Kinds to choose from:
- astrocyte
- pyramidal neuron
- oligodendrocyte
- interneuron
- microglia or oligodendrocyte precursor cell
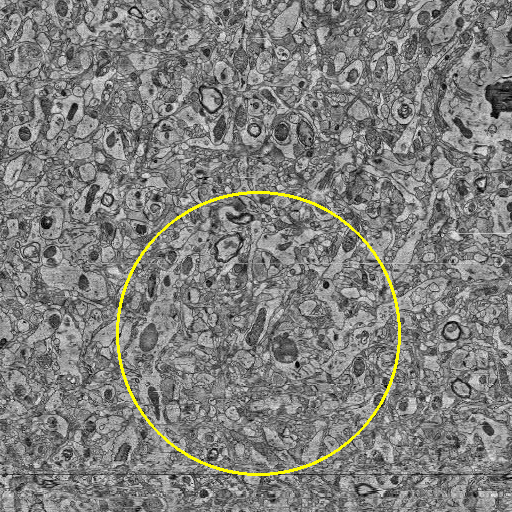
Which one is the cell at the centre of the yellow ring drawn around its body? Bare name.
microglia or oligodendrocyte precursor cell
